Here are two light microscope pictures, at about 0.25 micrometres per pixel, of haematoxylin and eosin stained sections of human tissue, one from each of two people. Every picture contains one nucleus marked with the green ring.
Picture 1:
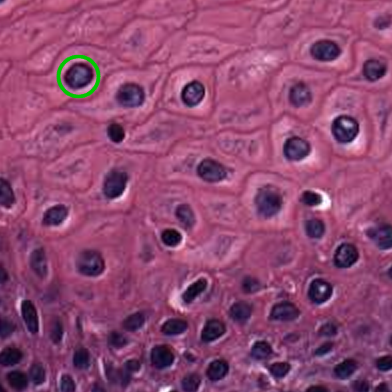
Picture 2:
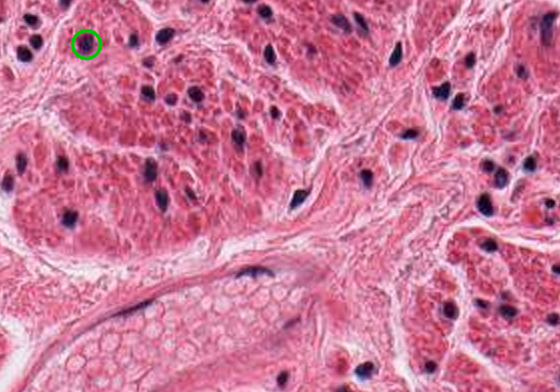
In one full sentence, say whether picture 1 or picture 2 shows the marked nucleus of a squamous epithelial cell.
Shown in picture 1 is a marked nucleus belonging to a squamous epithelial cell.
